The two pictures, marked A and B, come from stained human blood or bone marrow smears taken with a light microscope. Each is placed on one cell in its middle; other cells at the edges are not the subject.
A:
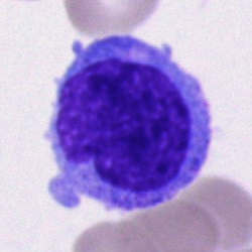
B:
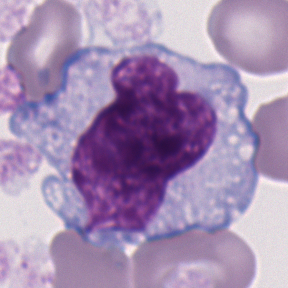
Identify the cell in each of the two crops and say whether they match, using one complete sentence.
Yes, monocytes are centred in both crops.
